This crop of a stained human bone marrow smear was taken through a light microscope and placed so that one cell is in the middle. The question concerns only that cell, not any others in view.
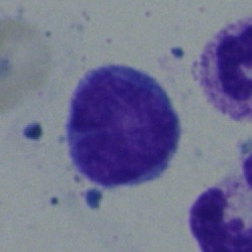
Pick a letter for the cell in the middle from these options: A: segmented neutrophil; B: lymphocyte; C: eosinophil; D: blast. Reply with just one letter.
D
